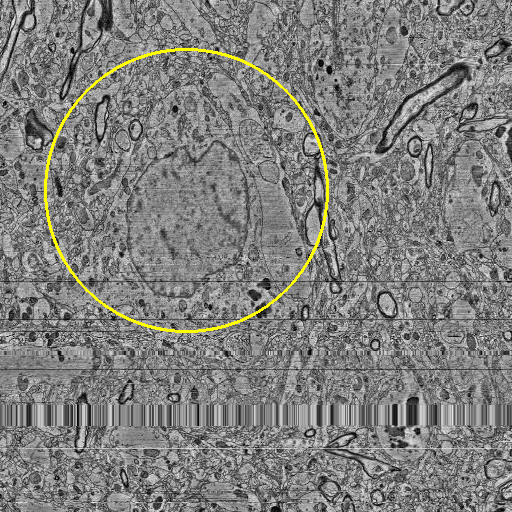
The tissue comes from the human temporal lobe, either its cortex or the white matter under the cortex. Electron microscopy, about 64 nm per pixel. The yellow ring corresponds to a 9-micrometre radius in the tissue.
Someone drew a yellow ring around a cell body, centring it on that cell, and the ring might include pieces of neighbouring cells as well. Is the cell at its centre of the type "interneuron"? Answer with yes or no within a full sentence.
Yes, within the picture, the cell the ring is centred on qualifies as that type.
